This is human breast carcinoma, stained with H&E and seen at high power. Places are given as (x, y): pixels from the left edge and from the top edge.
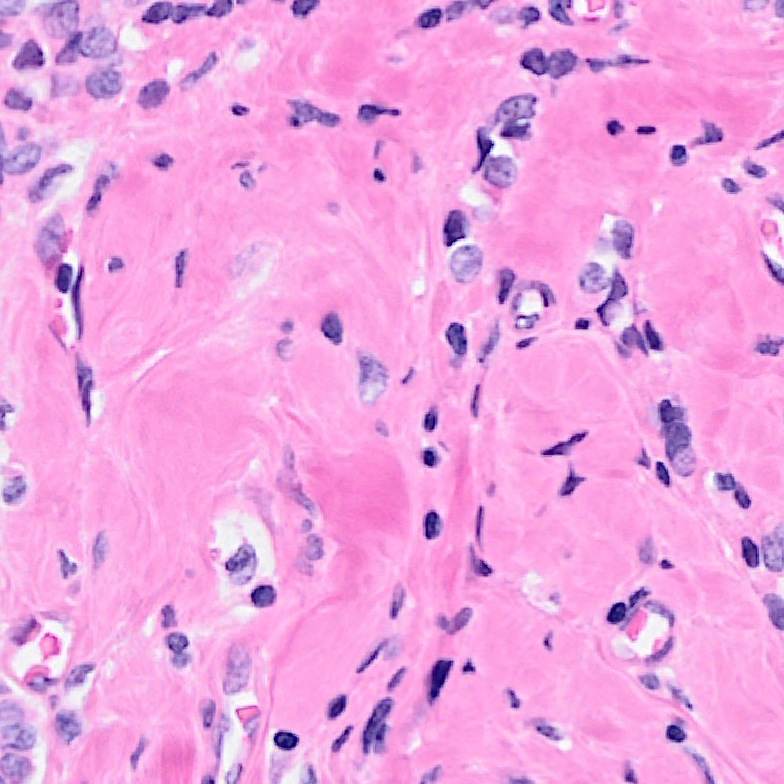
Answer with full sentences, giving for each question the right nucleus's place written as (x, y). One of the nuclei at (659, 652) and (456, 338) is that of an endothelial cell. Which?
Of the two nuclei, the nucleus belonging to an endothelial cell is located at (659, 652).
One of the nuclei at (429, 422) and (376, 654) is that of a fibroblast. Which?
Belonging to a fibroblast is the nucleus at (376, 654).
